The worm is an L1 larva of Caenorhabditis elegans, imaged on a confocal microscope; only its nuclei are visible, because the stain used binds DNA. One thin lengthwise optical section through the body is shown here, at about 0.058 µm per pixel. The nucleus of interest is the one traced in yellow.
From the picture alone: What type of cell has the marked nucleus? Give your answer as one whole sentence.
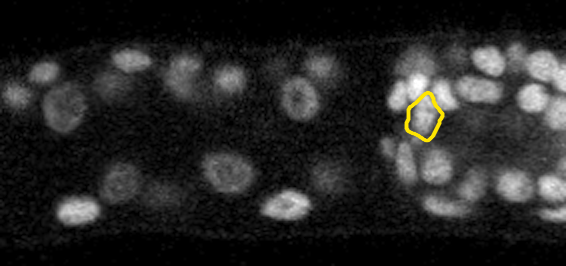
The marked nucleus belongs to a pharyngeal muscle cell.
